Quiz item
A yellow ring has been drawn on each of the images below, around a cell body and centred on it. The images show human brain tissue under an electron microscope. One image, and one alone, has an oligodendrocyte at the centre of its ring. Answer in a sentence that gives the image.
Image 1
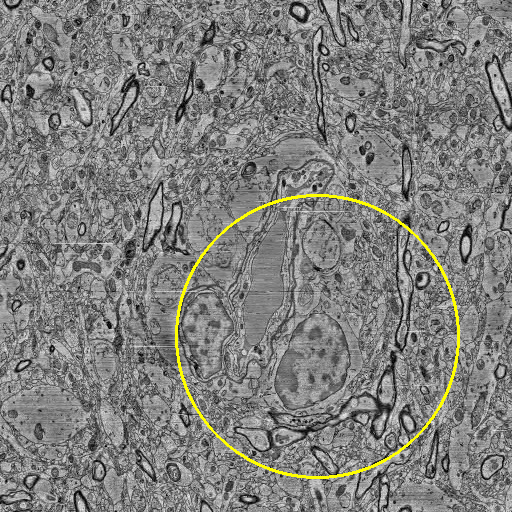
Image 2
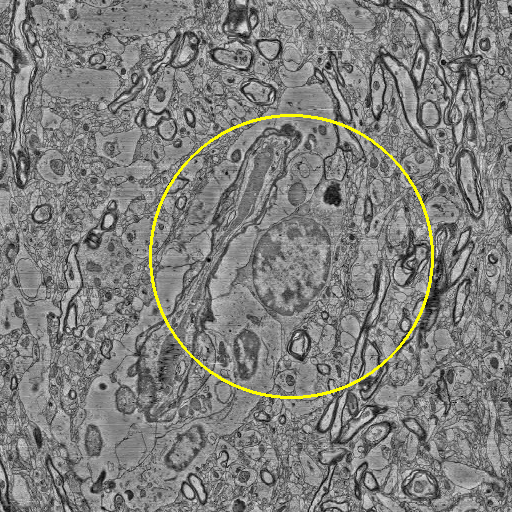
Image 2 shows it at the centre of the ring.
